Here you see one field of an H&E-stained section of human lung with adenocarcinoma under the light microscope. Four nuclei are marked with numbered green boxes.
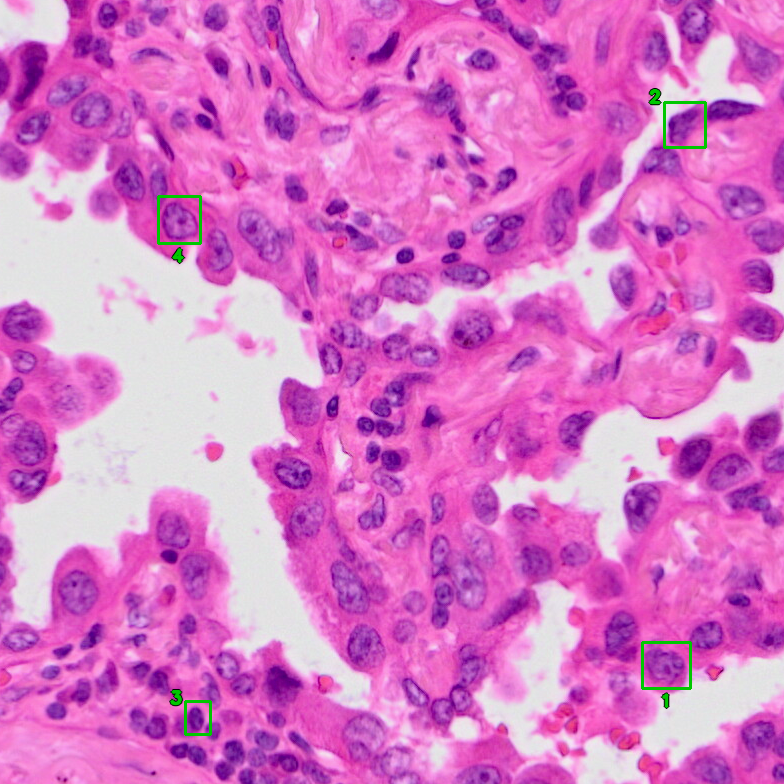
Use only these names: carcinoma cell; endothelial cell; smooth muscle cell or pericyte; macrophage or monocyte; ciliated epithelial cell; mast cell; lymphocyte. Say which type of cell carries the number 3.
lymphocyte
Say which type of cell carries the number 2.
carcinoma cell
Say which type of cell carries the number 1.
carcinoma cell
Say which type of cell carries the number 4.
carcinoma cell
